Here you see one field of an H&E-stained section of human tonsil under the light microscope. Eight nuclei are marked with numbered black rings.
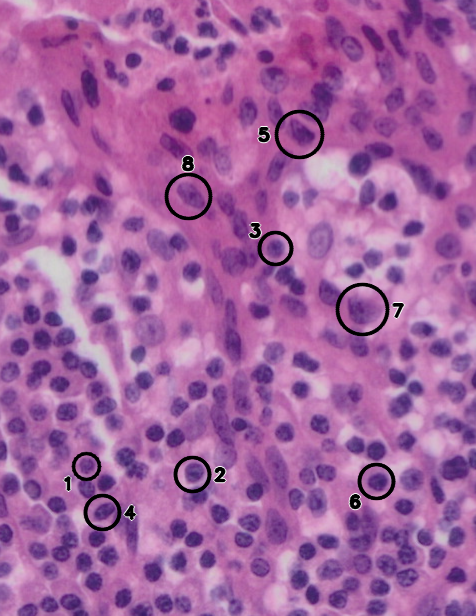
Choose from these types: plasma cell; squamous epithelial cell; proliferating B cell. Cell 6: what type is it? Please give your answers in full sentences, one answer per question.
The nucleus marked 6 is the nucleus of a plasma cell.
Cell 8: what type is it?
The cell to which the number 8 is assigned is a squamous epithelial cell.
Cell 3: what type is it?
Looking at the numbered marks, cell 3 is a squamous epithelial cell.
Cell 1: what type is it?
The cell tagged with 1 in this tissue section is a plasma cell.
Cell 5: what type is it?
The cell identified by the number 5 is a squamous epithelial cell.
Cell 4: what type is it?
Cell 4 of the marked set is a plasma cell.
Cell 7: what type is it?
Corresponding to a squamous epithelial cell is the cell labelled 7.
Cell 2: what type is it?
The cell assigned the number 2 is a plasma cell.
